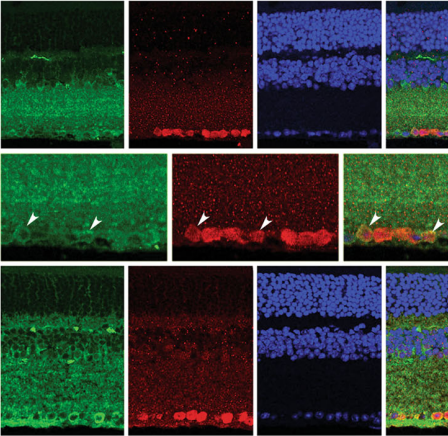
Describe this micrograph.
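These are cross sections of retina with its layers stacked: at the top a thick outer nuclear layer of tightly packed small blue nuclei, a thin outer plexiform layer, a thinner inner nuclear layer of blue nuclei, a broad inner plexiform layer free of nuclei with fine granular green staining, and at the inner edge a single row of large ganglion cell bodies. These ganglion cells have red-filled cytoplasm around a blue nucleus, and the arrowheads mark them. Green staining outlines their cytoplasm as rings; in the lower rows these green rings around the ganglion cells are brighter and more distinct than in the upper rows.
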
